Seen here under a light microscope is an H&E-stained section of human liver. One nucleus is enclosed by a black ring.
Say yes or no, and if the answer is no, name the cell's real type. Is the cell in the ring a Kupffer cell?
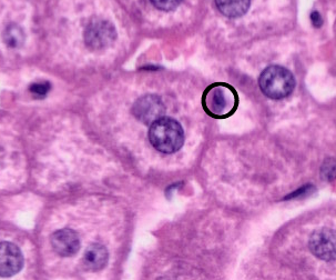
Yes.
